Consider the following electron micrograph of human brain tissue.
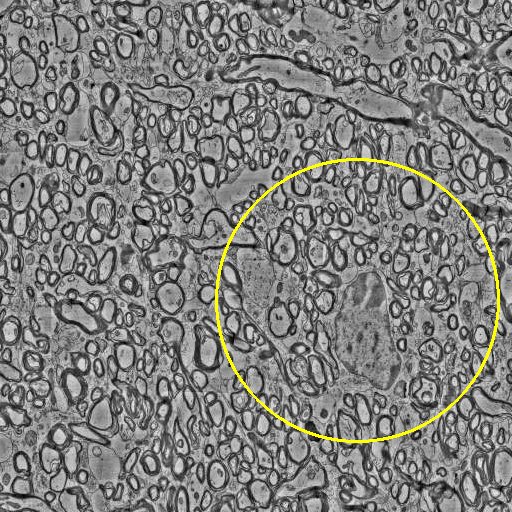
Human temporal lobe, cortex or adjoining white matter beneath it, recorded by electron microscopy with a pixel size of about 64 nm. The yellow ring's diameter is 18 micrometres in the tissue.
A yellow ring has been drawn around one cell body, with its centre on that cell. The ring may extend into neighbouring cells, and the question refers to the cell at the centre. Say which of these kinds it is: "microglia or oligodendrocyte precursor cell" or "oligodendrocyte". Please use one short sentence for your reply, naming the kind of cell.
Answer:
The centre of the ring falls on a microglial cell or oligodendrocyte precursor cell.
